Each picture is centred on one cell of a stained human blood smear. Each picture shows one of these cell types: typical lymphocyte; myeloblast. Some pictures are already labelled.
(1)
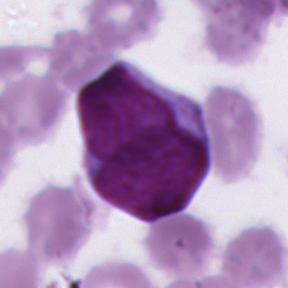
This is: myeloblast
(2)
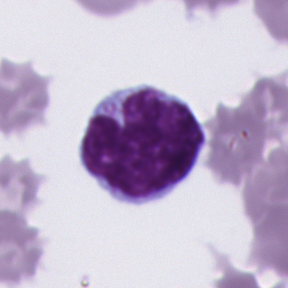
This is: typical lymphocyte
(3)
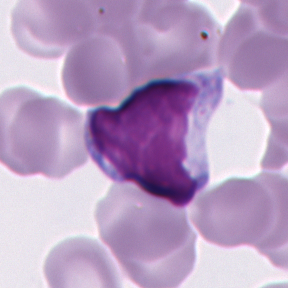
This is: typical lymphocyte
